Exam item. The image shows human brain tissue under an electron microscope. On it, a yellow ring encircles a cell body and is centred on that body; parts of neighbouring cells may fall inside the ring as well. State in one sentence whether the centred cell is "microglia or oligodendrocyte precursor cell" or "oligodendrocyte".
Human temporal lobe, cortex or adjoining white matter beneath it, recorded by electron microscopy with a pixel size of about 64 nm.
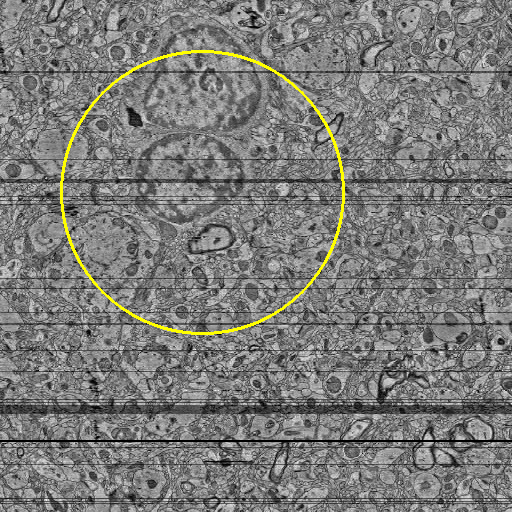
The cell body centred in the ring is an oligodendrocyte.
